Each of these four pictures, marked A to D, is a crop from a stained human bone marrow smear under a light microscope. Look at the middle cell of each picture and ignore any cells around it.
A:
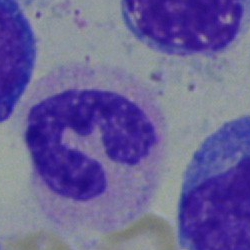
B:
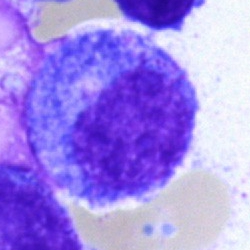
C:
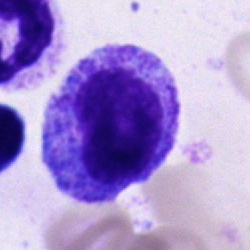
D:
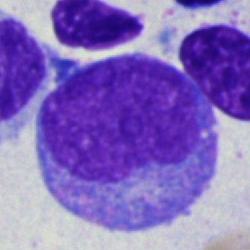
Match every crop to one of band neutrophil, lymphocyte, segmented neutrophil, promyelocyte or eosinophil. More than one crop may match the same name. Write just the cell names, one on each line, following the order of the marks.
band neutrophil
promyelocyte
promyelocyte
promyelocyte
